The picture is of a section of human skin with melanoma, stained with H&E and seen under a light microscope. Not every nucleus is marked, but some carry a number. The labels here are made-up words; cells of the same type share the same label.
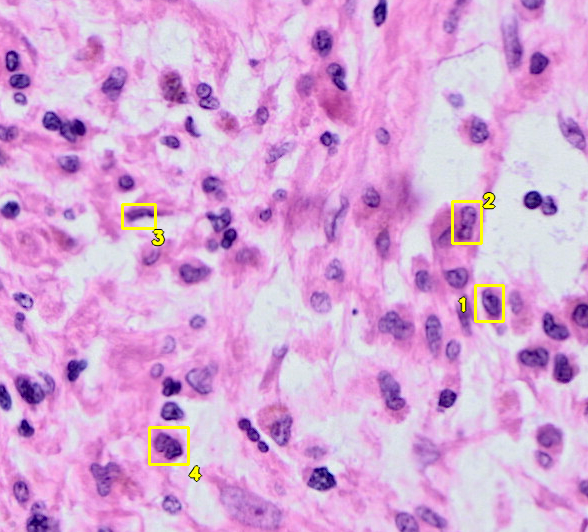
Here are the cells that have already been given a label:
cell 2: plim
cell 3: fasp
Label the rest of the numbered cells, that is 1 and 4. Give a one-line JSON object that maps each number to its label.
{"1": "plim", "4": "plim"}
